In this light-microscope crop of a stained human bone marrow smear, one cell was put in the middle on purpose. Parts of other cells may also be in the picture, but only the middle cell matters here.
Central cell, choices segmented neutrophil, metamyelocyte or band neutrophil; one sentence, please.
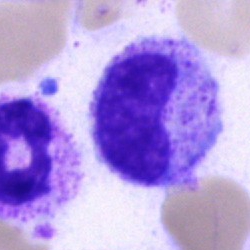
Standing at the centre of this crop is a metamyelocyte.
